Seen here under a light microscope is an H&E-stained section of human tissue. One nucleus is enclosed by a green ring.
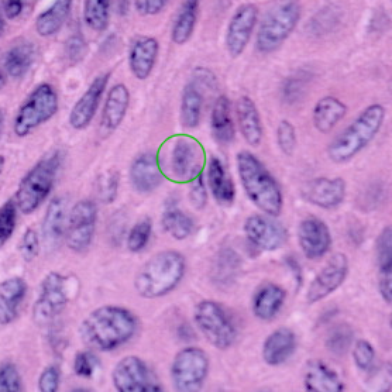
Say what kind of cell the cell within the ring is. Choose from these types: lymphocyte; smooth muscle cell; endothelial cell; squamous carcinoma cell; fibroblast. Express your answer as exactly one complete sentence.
So far as cell type goes, the cell within the ring is a squamous carcinoma cell.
